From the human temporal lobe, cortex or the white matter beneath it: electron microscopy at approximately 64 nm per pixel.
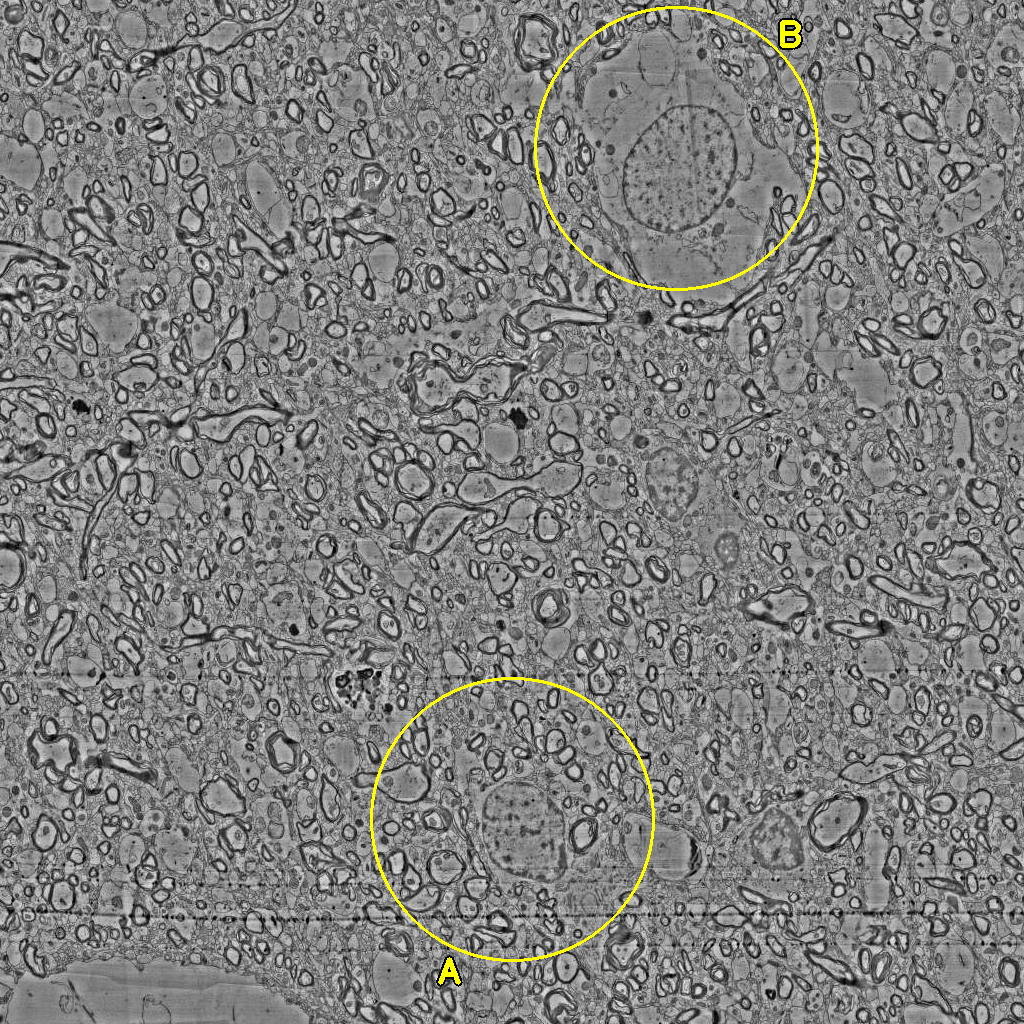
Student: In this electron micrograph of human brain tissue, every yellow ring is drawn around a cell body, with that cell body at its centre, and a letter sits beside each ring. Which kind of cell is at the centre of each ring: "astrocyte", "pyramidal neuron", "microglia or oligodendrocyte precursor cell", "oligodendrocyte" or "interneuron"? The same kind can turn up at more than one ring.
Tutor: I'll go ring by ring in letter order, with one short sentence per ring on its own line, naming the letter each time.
Ring A: the cell at its centre is a microglial cell or oligodendrocyte precursor cell.
Ring B: the cell at its centre is an astrocyte.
